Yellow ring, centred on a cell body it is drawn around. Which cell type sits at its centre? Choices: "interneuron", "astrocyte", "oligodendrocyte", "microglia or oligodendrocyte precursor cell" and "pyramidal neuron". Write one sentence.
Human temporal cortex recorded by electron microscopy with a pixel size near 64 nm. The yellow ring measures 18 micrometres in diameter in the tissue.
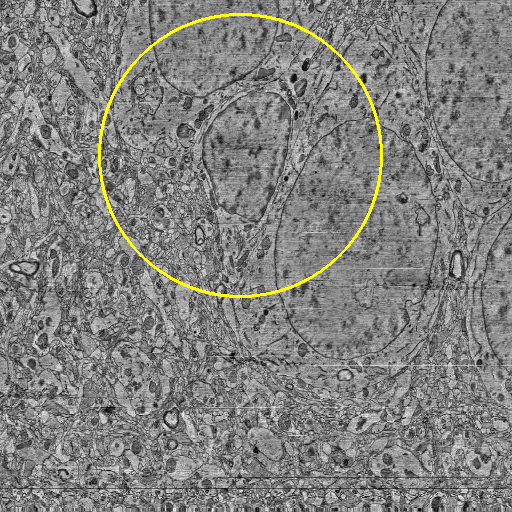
At the centre of the ring sits a microglial cell or oligodendrocyte precursor cell.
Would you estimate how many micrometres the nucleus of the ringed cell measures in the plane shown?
In this plane the nucleus is clearly longer than it is wide: roughly 9 by 6 micrometres.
